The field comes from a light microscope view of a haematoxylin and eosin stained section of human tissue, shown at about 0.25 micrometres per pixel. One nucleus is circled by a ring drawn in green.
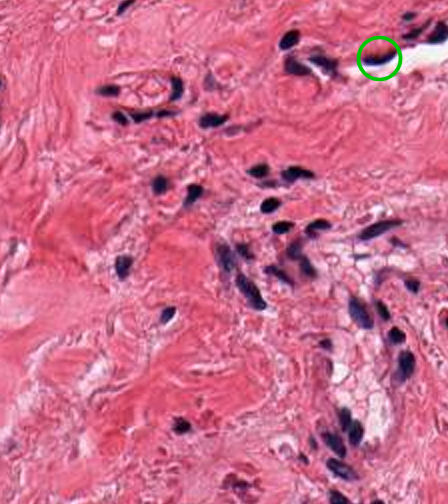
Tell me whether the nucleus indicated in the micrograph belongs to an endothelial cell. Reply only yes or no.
yes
